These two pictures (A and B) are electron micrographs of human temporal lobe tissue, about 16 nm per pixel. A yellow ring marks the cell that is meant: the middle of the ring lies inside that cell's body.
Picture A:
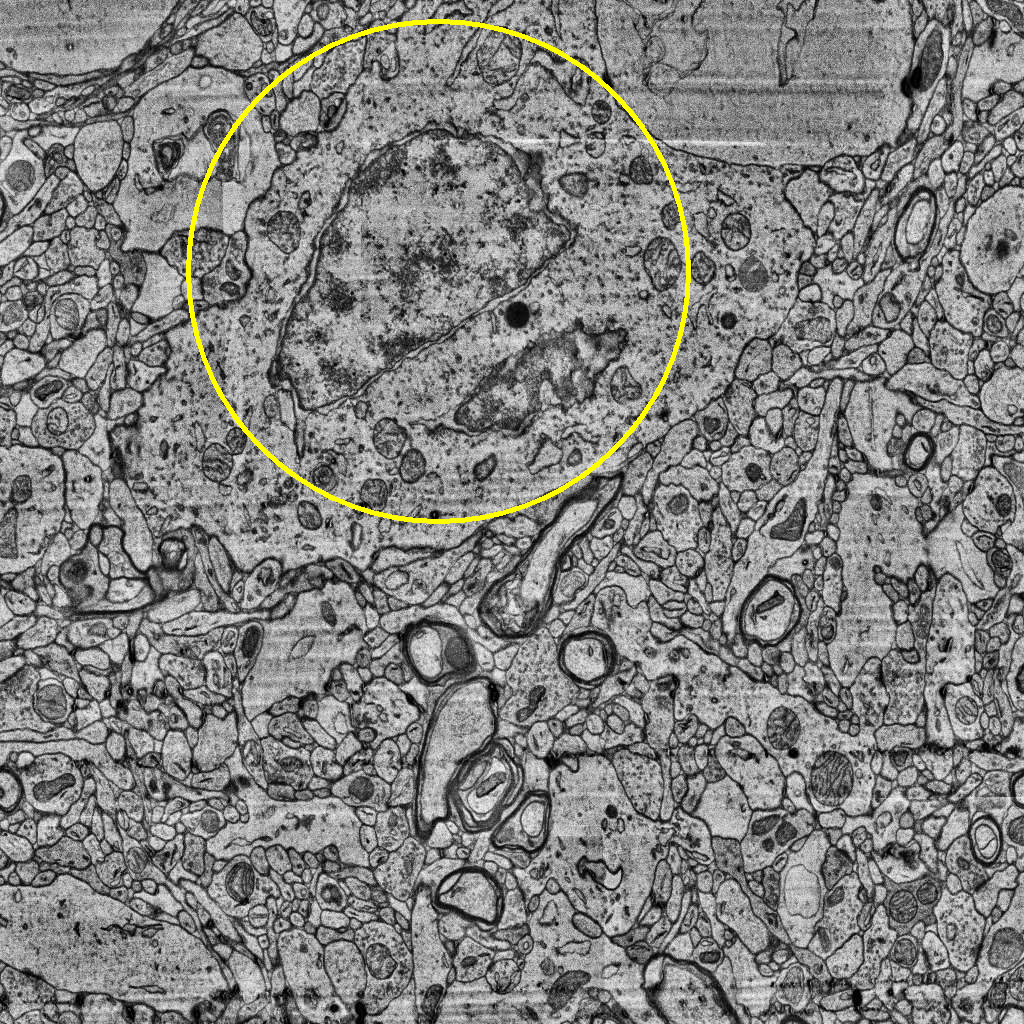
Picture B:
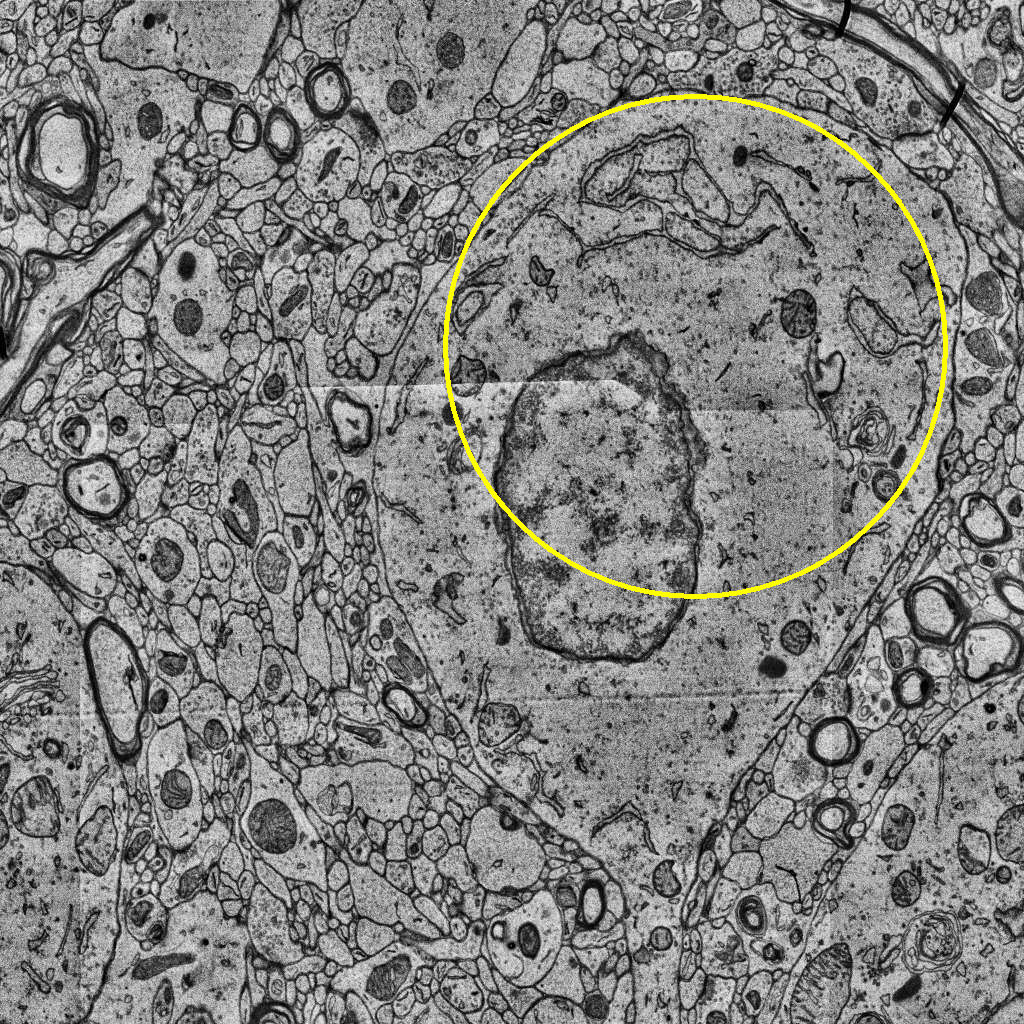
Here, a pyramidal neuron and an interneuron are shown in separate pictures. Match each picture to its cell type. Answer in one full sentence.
The cell in picture A is an interneuron, and the one in picture B is a pyramidal neuron.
